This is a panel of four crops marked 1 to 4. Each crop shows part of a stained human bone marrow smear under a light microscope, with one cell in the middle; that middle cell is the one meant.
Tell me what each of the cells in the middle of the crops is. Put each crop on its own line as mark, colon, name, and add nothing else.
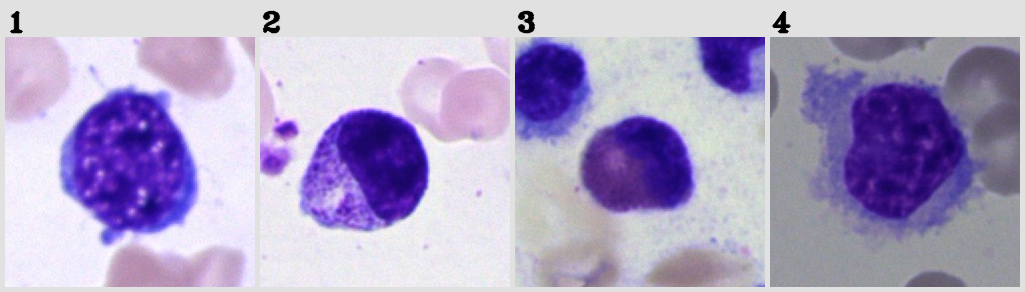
1: blast
2: metamyelocyte
3: basophil
4: hairy cell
